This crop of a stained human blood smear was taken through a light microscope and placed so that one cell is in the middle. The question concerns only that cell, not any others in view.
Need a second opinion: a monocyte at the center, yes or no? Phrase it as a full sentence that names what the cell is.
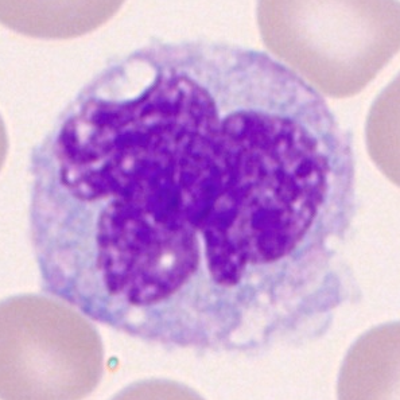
Yes, a monocyte is the cell positioned in the middle of the field.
